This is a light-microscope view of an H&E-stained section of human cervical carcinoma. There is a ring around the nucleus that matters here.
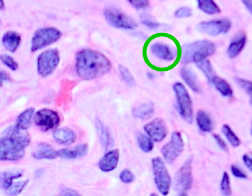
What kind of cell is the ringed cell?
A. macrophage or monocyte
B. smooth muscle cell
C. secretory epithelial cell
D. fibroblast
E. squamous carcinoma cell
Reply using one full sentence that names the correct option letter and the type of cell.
Identified correctly by option D, the ringed cell is a fibroblast.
